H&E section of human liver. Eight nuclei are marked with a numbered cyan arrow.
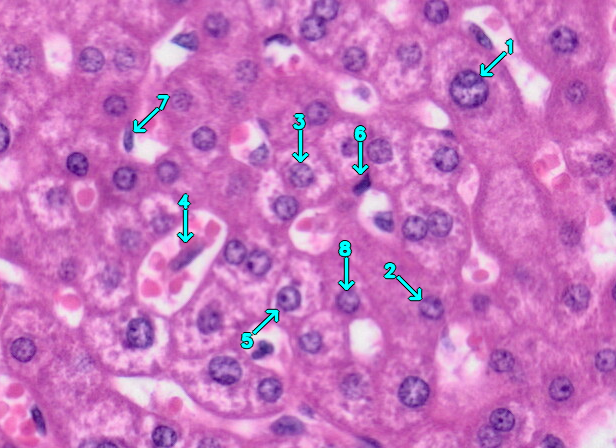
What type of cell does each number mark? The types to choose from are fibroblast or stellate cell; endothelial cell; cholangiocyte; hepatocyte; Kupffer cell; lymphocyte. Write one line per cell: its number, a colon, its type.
1: hepatocyte
2: hepatocyte
3: hepatocyte
4: Kupffer cell
5: hepatocyte
6: fibroblast or stellate cell
7: endothelial cell
8: hepatocyte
